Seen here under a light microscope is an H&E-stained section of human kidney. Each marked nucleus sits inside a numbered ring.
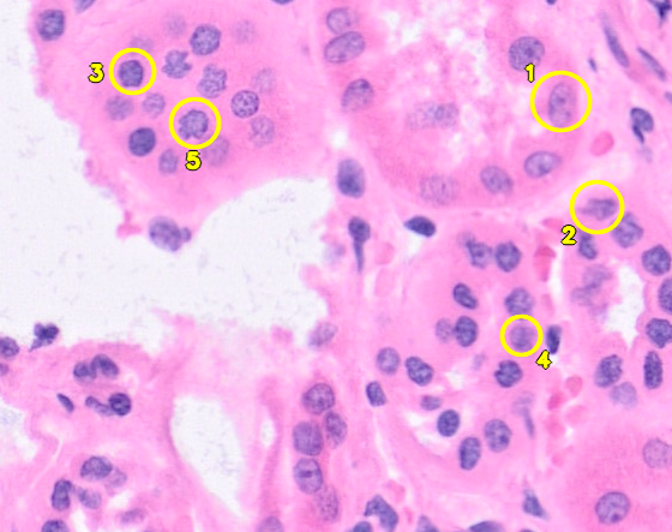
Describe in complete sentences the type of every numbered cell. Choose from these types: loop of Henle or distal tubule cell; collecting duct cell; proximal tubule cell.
Cell 1 is a proximal tubule cell, cell 2 is a collecting duct cell, cell 3 is a loop of Henle or distal tubule cell, cell 4 is a collecting duct cell and cell 5 is a loop of Henle or distal tubule cell.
